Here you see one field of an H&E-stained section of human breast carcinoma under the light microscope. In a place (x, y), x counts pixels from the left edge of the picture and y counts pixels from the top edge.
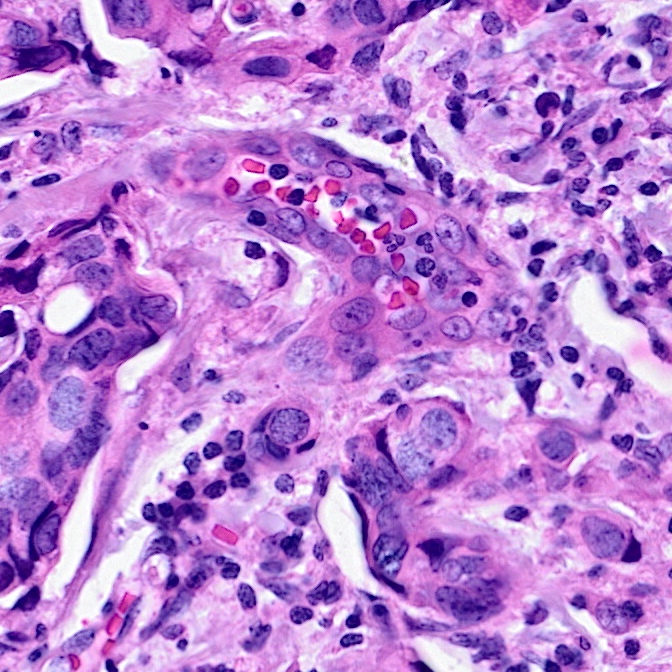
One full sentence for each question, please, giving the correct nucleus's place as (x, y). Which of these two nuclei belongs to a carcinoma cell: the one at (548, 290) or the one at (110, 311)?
The nucleus belonging to a carcinoma cell is the one at (110, 311).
